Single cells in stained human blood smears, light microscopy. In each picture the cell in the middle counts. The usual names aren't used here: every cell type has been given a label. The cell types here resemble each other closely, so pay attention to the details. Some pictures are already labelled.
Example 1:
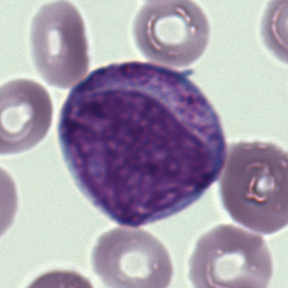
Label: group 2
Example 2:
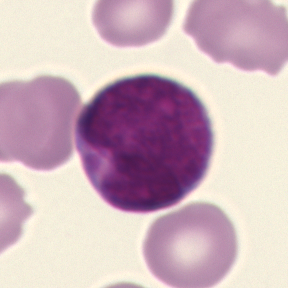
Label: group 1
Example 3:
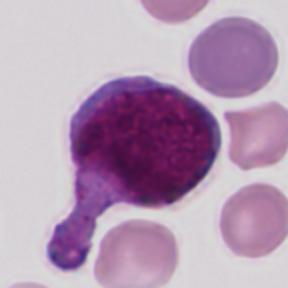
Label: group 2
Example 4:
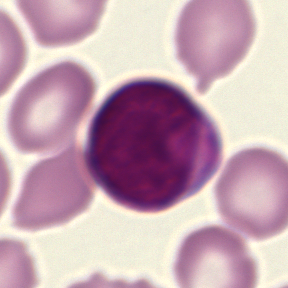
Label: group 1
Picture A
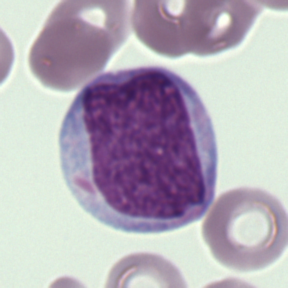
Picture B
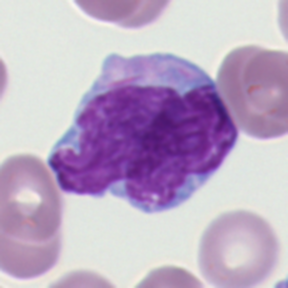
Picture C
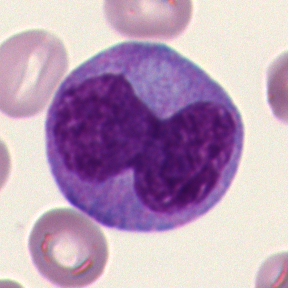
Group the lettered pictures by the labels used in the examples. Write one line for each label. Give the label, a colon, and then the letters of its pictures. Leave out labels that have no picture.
group 2: A, B, C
